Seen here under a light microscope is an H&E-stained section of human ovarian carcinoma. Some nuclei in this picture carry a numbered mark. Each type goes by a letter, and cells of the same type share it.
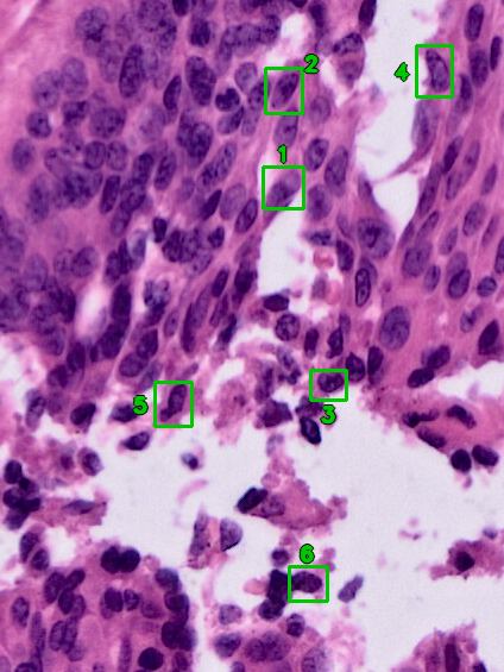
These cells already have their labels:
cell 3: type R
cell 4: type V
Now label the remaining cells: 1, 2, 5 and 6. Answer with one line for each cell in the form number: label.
1: type R
2: type R
5: type V
6: type R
